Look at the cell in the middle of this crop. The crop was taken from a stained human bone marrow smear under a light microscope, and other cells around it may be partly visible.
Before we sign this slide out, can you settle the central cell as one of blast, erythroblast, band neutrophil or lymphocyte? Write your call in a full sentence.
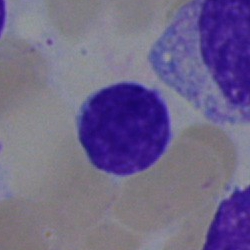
The middle position in this crop is taken by a lymphocyte.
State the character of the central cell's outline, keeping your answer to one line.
The border of this cell runs smooth and free of any projections.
